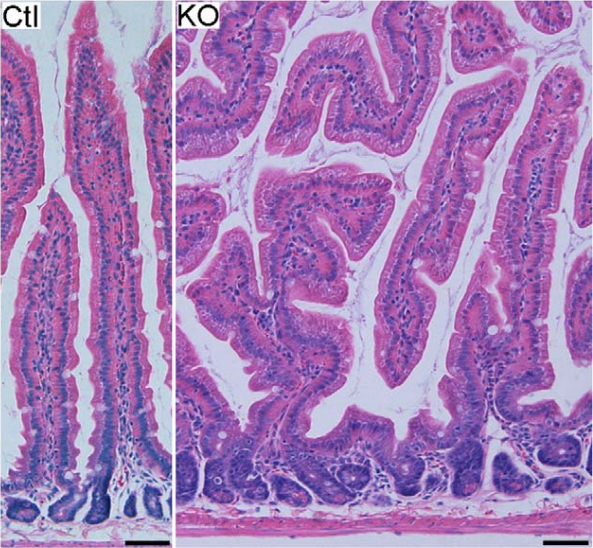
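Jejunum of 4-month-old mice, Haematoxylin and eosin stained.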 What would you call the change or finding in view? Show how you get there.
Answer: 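In the left image the villi are tall, slender and straight. In the right image the villi are irregular, folded and branched. The right image's villi are broader with convoluted epithelial lining.
Answer: disturbed crypt-villus architecture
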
